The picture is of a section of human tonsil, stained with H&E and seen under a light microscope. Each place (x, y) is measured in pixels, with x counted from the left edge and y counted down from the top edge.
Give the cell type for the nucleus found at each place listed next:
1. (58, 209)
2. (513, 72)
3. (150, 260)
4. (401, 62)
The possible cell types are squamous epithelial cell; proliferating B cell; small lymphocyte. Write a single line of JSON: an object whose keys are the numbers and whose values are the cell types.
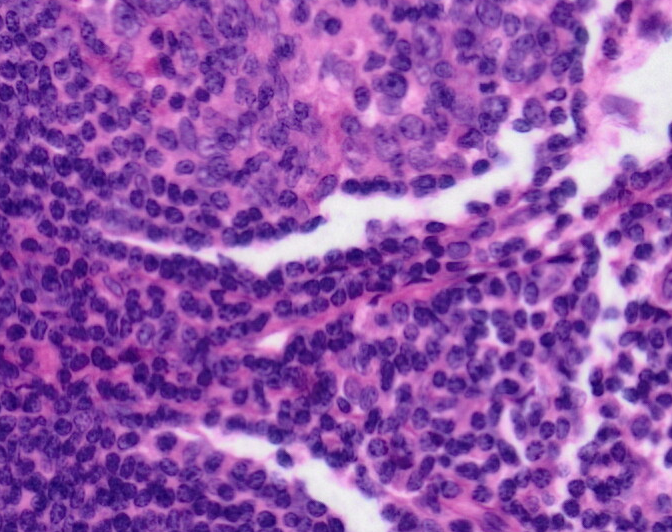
{"1": "small lymphocyte", "2": "proliferating B cell", "3": "small lymphocyte", "4": "proliferating B cell"}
